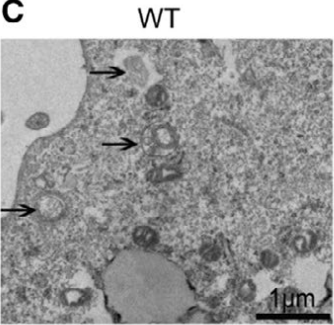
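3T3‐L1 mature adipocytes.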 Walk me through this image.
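Arrows mark several round membrane-bound vacuoles, some with concentric membranes or enclosed material, consistent with autophagosome-related structures. Small dense round profiles lie scattered nearby, and a large pale homogeneous droplet occupies the lower part of the field.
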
